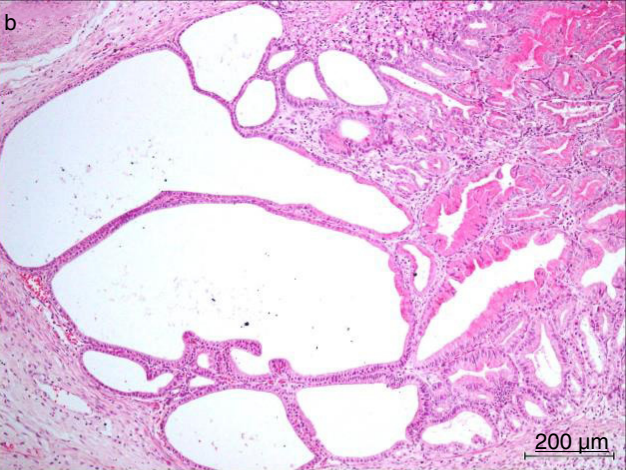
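Stomach wall stained pink and purple, showing glands of very different size. On the left and centre, many large round and irregular spaces lie in the mucosa, empty except for faint pale material, each lined by a single thin layer of flattened to low cuboidal cells with dark nuclei. They are separated by narrow strands of stroma. To the right, smaller elongated glands are lined by tall pink columnar epithelium. At the far left lies pink smooth muscle with spindle nuclei. The many widened, thin-walled gland spaces amount to a cystic dilatation of the gastric glands.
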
